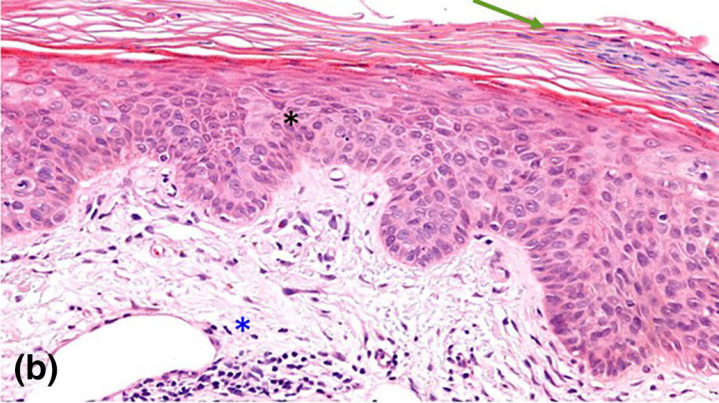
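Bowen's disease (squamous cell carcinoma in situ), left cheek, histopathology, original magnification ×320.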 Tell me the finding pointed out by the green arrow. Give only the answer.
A: parakeratosis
